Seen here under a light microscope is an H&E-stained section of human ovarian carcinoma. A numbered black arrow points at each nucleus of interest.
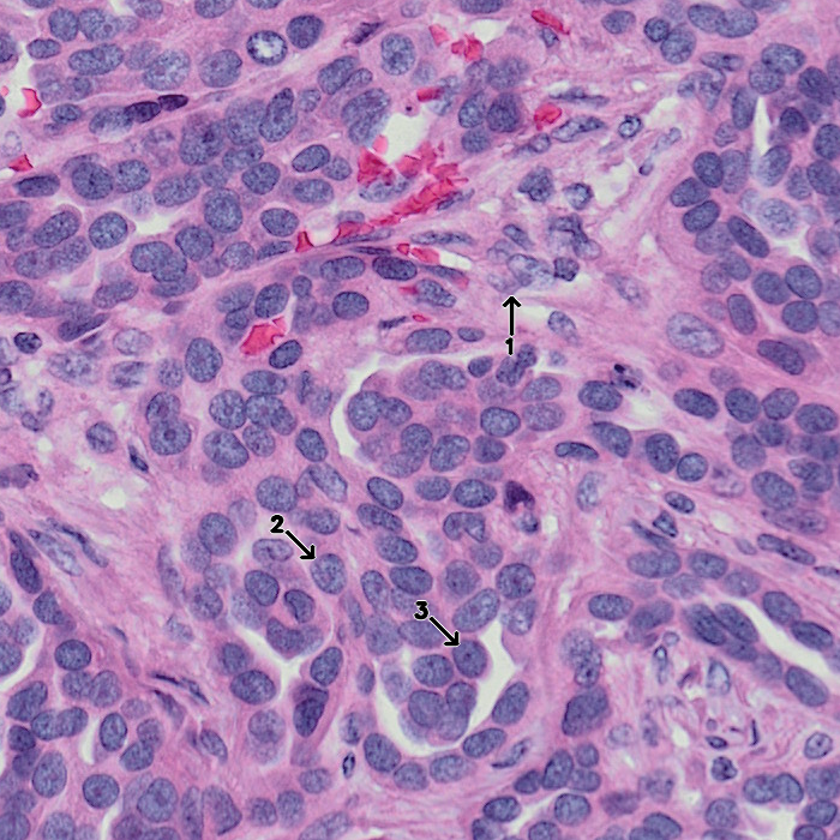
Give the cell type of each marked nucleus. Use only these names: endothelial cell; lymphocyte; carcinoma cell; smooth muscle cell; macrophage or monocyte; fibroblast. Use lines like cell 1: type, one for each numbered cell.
cell 1: fibroblast
cell 2: carcinoma cell
cell 3: carcinoma cell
